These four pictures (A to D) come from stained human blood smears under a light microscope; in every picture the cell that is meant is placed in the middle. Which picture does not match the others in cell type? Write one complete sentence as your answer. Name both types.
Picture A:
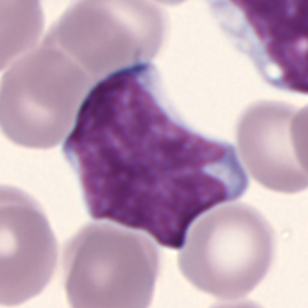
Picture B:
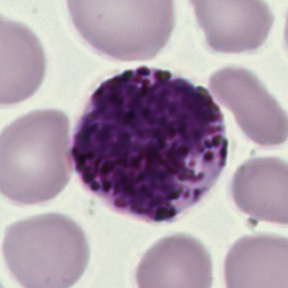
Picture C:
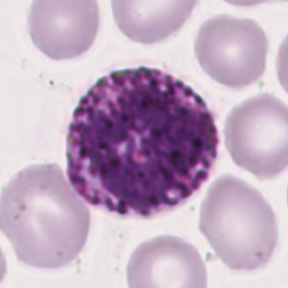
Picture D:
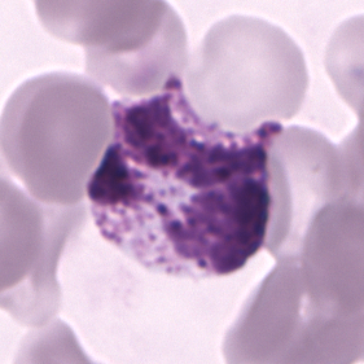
Picture A is the odd one out: it shows a typical lymphocyte, while the others show basophils.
